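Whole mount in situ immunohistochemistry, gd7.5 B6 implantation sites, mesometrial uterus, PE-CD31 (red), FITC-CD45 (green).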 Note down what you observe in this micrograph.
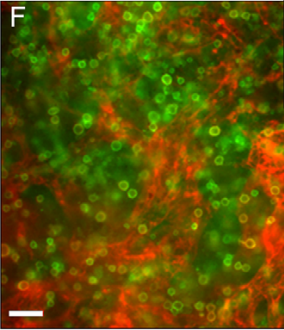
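Here the decidua shows red, broad, branching vessels running irregularly across the field, with numerous small round leukocytes scattered among and over them. Many of the round cells have green to yellow rims, where the two colours overlap on the same cell. The vessels form a loose web rather than a tight mesh.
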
